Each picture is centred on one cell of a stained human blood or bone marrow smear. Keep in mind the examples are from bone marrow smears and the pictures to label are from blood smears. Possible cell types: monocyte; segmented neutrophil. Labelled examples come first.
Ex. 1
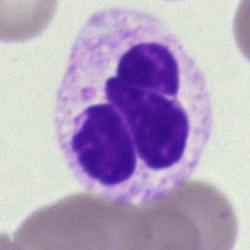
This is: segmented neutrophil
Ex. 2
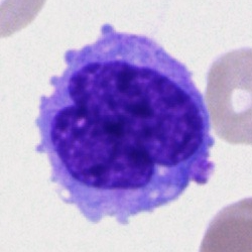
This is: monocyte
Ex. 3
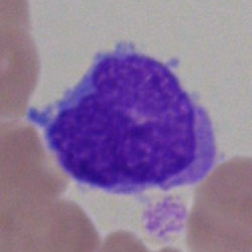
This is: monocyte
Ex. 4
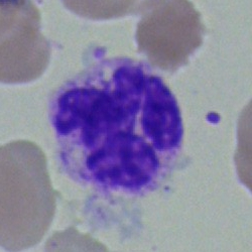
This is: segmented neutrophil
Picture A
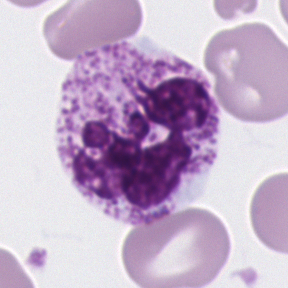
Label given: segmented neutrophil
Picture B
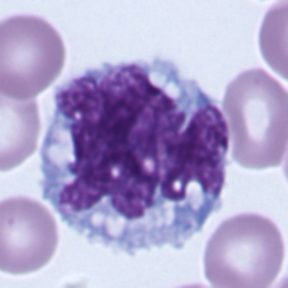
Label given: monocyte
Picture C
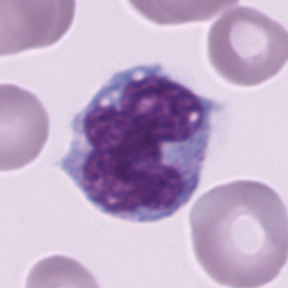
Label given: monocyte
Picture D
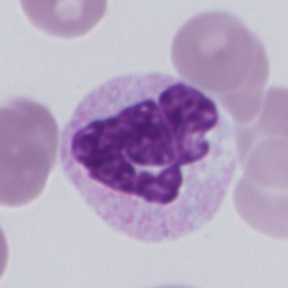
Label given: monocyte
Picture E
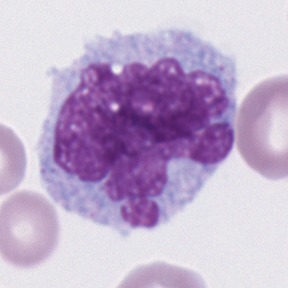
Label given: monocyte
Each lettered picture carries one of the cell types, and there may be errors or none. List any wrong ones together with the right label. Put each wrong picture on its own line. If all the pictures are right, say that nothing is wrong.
D: segmented neutrophil, not monocyte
